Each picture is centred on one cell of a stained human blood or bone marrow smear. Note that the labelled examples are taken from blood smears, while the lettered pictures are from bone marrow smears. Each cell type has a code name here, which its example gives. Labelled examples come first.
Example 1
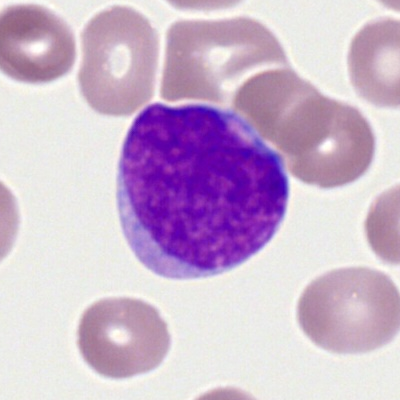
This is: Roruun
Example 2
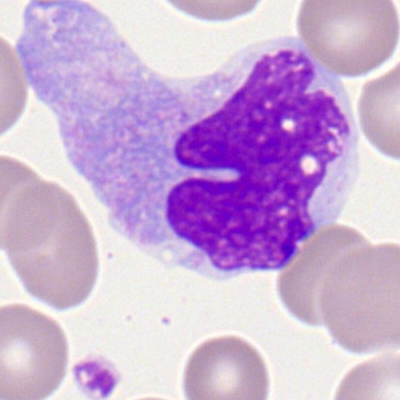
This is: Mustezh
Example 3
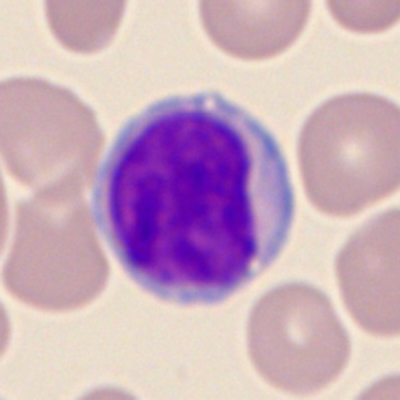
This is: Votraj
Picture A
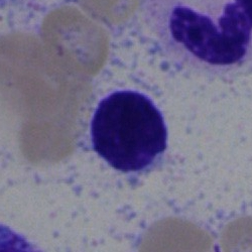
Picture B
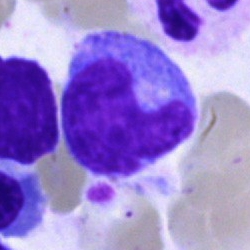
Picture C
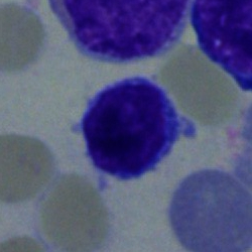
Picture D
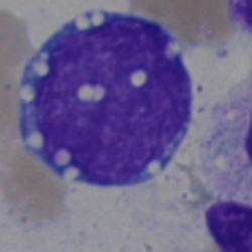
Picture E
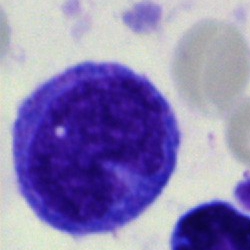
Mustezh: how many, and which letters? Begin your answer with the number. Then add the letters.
2: B, E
